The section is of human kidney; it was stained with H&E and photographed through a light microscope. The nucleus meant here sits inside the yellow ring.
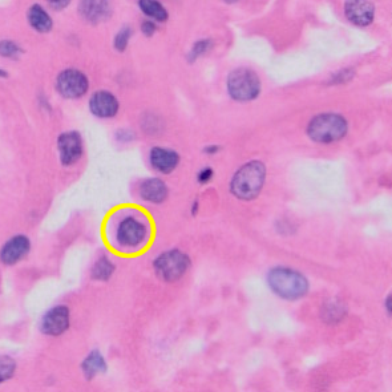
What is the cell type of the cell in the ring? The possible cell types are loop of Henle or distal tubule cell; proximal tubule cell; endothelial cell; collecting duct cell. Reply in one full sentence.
What the cell in the ring represents is a loop of Henle or distal tubule cell.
